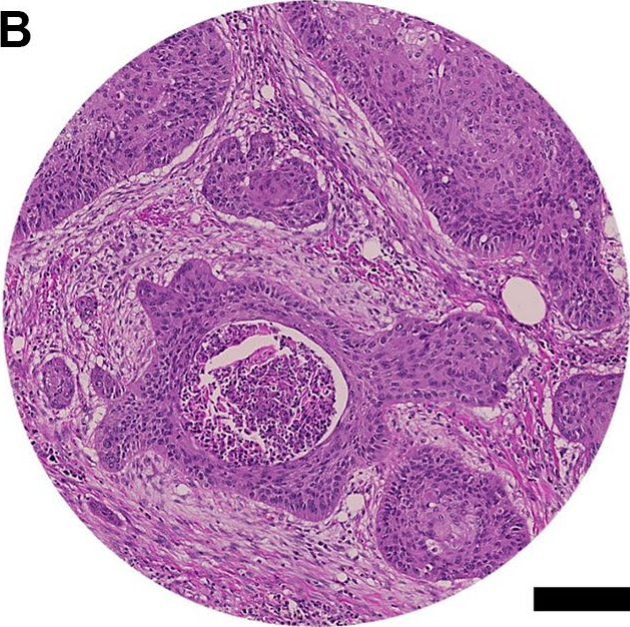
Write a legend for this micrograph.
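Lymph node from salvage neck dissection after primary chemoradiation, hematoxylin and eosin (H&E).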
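Irregular nests of highly atypical squamous cells lie within a loose, pale pink fibrous stroma containing scattered small cells and a few small clear fat spaces. The tumor cells are polygonal, with moderate pink cytoplasm and enlarged, darkly stained nuclei that vary in size. In the center of the field one nest shows comedo-like necrosis: its core is filled with fragmented, granular debris, partly pulled away from a surrounding rim of intact tumor cells. Other nests, some rounded and some with jagged, budding outlines, are scattered around it.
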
